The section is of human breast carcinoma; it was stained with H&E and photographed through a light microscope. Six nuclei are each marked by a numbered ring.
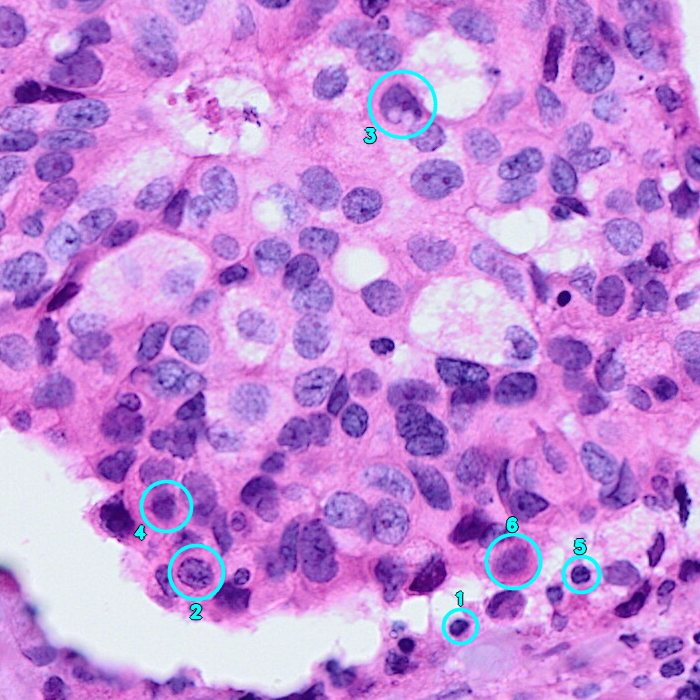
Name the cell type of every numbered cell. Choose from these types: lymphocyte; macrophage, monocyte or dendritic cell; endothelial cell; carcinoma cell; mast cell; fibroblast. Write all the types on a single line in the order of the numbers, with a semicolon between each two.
lymphocyte; carcinoma cell; carcinoma cell; carcinoma cell; lymphocyte; carcinoma cell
